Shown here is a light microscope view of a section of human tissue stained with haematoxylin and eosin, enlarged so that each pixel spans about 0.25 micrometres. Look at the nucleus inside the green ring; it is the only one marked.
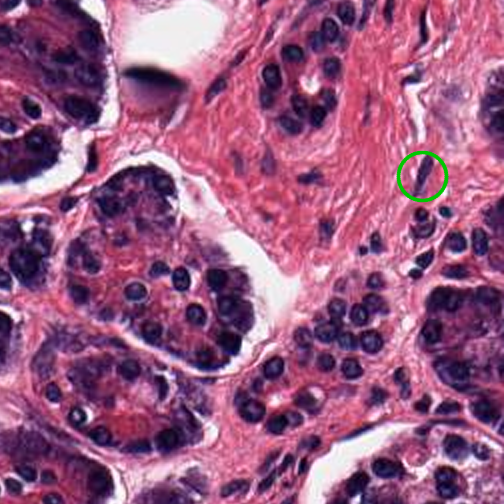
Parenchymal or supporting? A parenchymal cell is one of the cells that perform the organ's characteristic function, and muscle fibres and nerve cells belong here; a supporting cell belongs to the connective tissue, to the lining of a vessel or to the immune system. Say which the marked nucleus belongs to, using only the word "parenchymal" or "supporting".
supporting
